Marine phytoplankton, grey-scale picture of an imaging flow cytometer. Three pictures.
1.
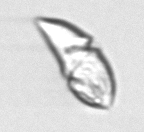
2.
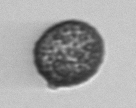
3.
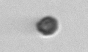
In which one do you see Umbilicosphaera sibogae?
In picture 2.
